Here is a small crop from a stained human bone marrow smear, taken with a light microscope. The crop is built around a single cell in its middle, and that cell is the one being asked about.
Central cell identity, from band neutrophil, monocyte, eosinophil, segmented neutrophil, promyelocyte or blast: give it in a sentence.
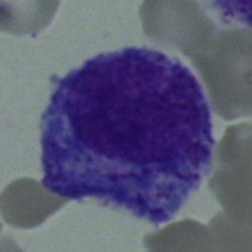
Whatever else lies nearby, the middle cell is a promyelocyte.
